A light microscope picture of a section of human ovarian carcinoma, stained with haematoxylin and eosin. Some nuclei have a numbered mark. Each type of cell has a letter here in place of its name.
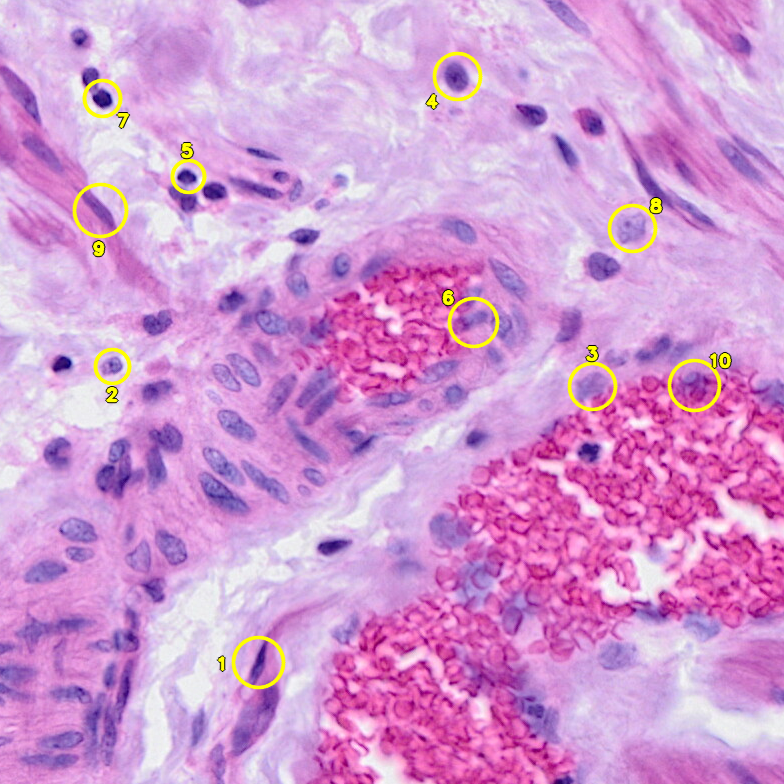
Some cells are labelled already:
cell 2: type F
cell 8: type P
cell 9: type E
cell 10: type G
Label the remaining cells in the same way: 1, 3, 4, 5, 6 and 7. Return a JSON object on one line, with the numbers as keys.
{"1": "type E", "3": "type G", "4": "type P", "5": "type F", "6": "type G", "7": "type F"}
